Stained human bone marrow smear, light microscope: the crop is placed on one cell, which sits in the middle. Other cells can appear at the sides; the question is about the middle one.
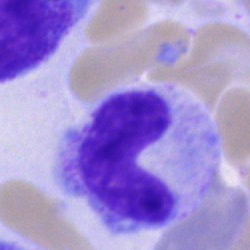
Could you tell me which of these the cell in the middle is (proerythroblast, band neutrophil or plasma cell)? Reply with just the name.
band neutrophil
